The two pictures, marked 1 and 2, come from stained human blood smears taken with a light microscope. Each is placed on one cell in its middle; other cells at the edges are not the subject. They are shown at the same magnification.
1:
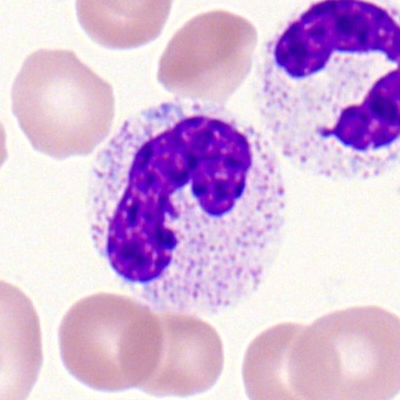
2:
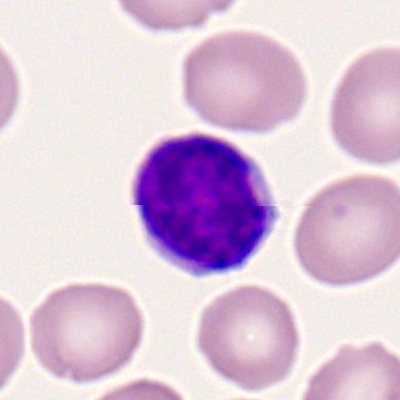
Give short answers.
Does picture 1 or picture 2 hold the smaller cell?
2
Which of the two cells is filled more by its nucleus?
2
